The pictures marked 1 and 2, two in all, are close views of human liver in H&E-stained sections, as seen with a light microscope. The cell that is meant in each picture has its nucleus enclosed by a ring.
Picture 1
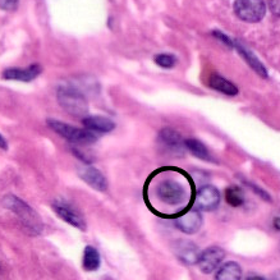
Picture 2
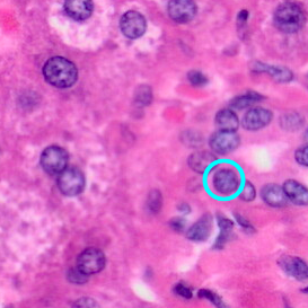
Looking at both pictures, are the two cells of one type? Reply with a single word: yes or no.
yes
